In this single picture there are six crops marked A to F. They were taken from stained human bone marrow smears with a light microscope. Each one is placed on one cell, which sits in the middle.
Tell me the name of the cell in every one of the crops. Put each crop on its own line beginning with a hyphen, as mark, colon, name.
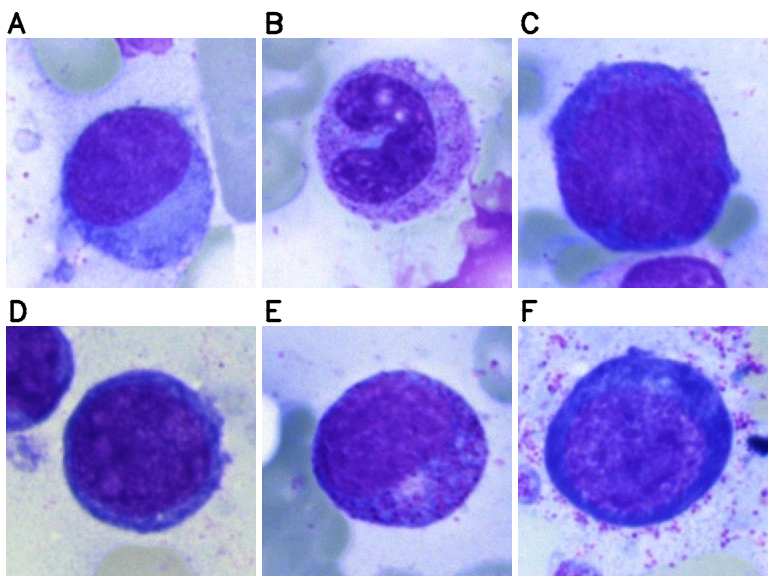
- A: hairy cell
- B: band neutrophil
- C: proerythroblast
- D: proerythroblast
- E: promyelocyte
- F: proerythroblast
